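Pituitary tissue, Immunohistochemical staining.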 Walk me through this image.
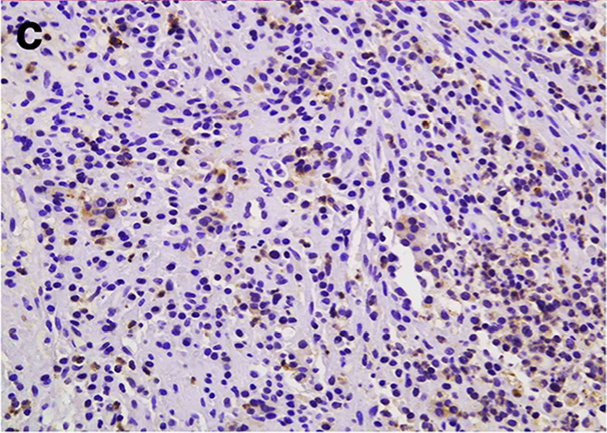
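The brown-stained cells are round with granular brown cytoplasm and a dark round nucleus. They are scattered singly and in loose clusters, more crowded toward the lower right. Between them lie many unstained cells with blue oval or elongated nuclei in a streaming, fibrous background.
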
